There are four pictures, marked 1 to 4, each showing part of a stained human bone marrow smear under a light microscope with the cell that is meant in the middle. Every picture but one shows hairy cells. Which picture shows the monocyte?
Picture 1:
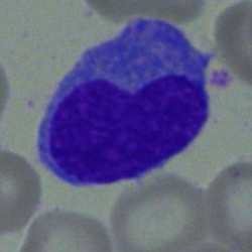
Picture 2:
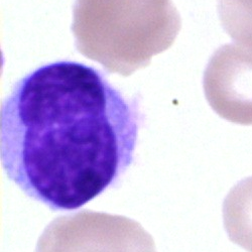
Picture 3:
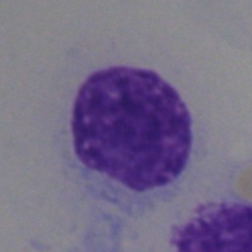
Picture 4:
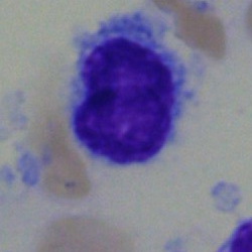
1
